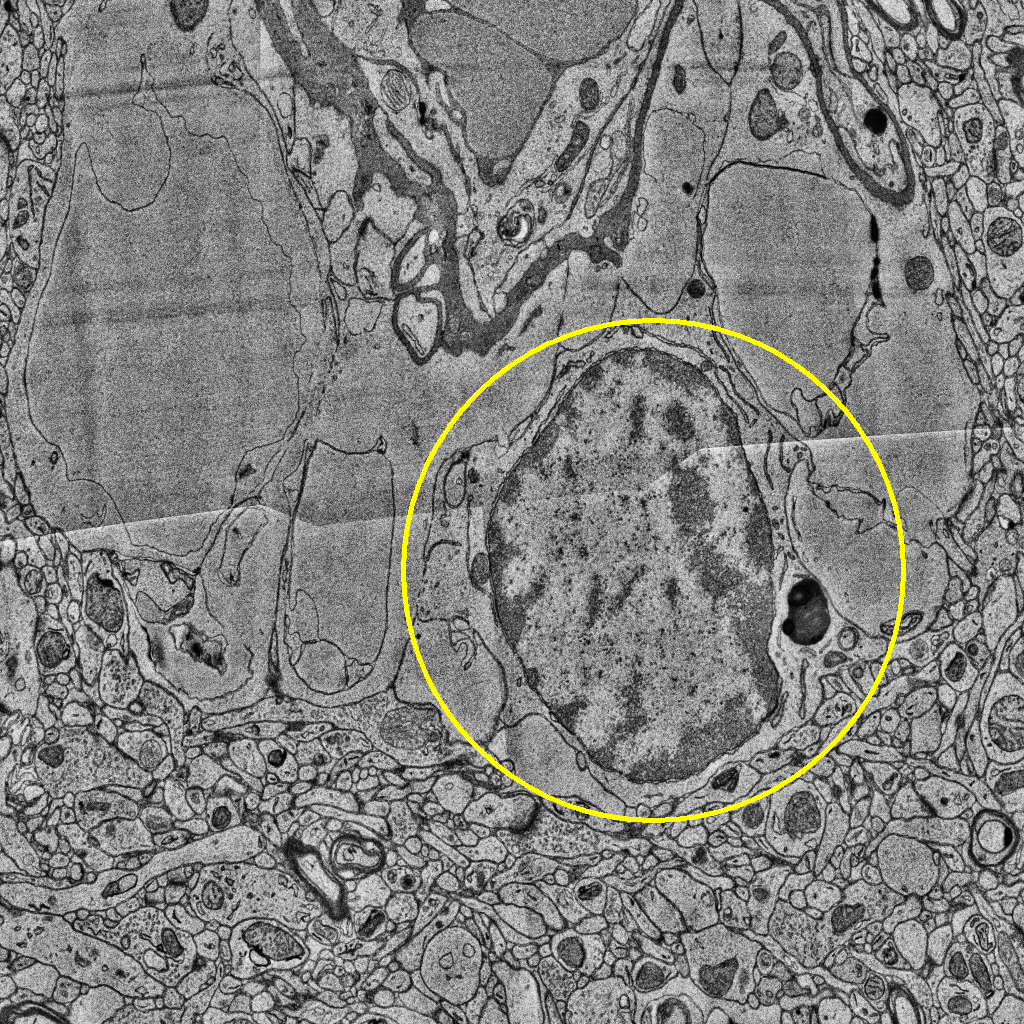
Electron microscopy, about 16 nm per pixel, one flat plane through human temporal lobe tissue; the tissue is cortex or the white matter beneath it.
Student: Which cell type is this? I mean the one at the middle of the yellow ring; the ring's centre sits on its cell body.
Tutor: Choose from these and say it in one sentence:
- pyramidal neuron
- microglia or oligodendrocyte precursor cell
The cell at the ring's centre is a microglial cell or oligodendrocyte precursor cell.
